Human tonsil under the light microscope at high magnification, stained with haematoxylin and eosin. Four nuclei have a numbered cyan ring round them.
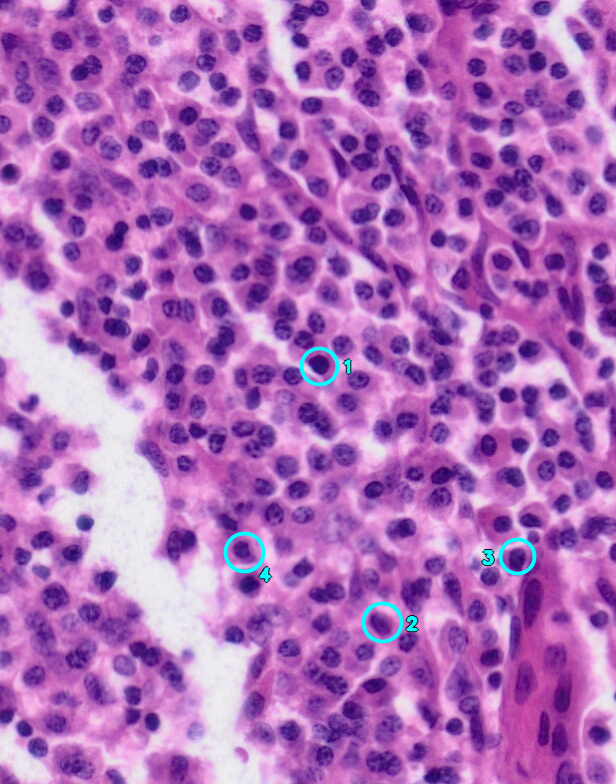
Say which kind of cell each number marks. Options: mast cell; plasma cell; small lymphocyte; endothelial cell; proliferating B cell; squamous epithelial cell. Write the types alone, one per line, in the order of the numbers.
plasma cell
squamous epithelial cell
plasma cell
plasma cell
